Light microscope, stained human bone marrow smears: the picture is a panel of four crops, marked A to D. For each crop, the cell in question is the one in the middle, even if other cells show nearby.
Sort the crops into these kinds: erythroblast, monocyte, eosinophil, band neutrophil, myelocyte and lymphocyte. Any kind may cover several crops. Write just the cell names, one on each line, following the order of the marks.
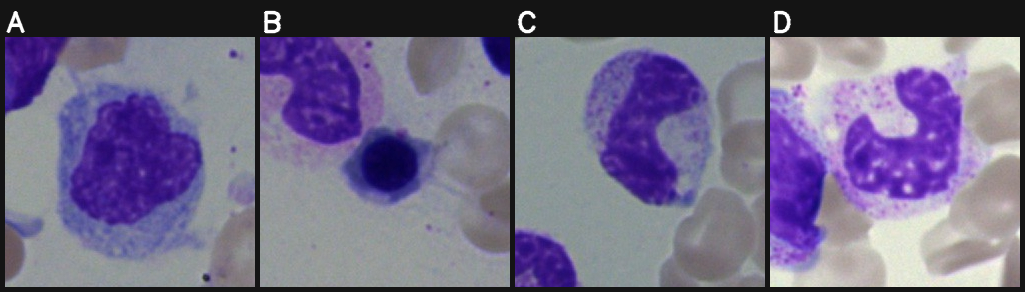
monocyte
erythroblast
band neutrophil
band neutrophil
